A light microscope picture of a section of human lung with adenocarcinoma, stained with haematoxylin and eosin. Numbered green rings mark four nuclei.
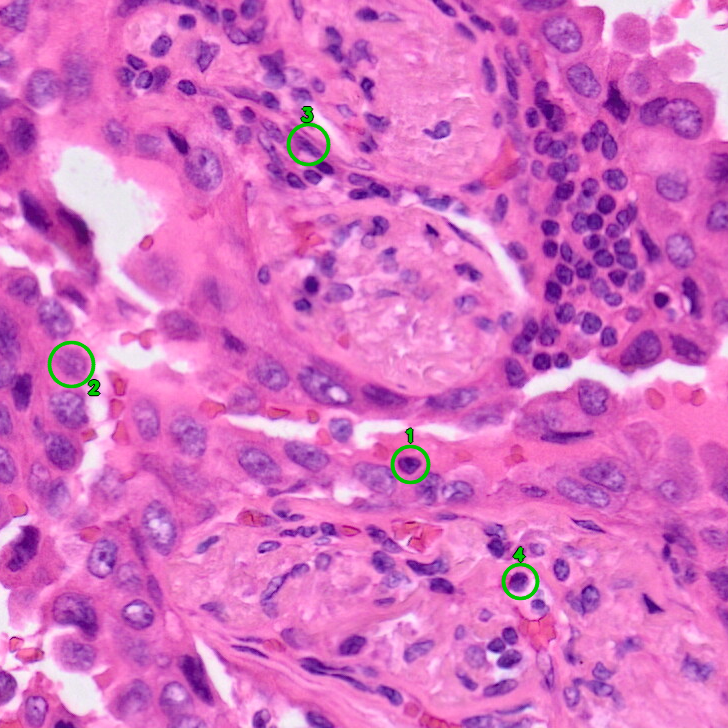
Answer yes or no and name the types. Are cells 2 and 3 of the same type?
No, cell 2 is a carcinoma cell and cell 3 is a plasma cell.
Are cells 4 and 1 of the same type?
Yes, both are lymphocytes.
